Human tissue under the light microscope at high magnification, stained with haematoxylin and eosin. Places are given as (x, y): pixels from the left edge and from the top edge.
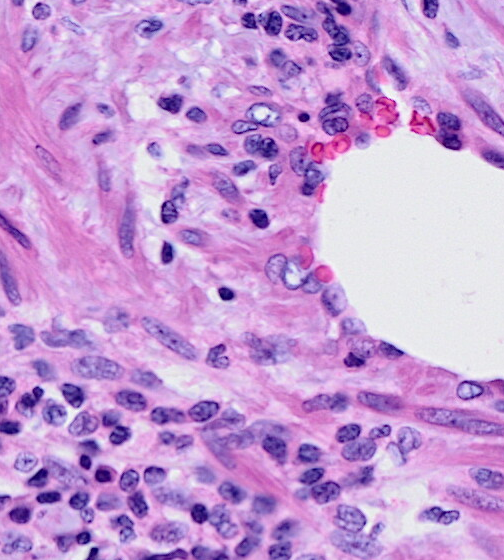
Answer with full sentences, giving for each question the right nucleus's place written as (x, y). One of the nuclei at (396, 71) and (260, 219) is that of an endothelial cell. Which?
The nucleus that belongs to an endothelial cell sits at (396, 71).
